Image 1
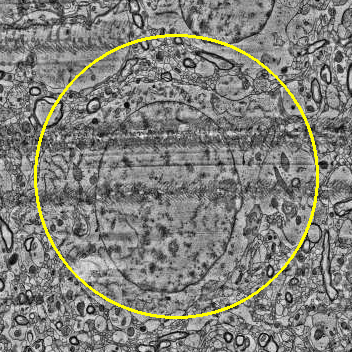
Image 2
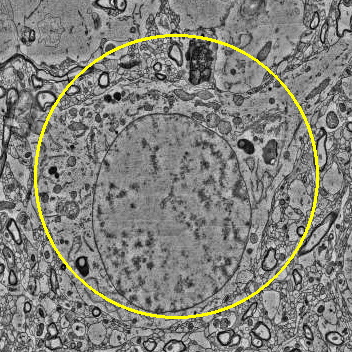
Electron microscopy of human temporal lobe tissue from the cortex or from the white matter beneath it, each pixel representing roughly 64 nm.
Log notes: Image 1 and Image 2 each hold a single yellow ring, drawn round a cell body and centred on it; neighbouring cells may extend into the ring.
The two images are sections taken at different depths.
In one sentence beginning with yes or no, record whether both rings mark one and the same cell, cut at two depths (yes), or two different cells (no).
Yes, the two marked outlines come from one and the same cell.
